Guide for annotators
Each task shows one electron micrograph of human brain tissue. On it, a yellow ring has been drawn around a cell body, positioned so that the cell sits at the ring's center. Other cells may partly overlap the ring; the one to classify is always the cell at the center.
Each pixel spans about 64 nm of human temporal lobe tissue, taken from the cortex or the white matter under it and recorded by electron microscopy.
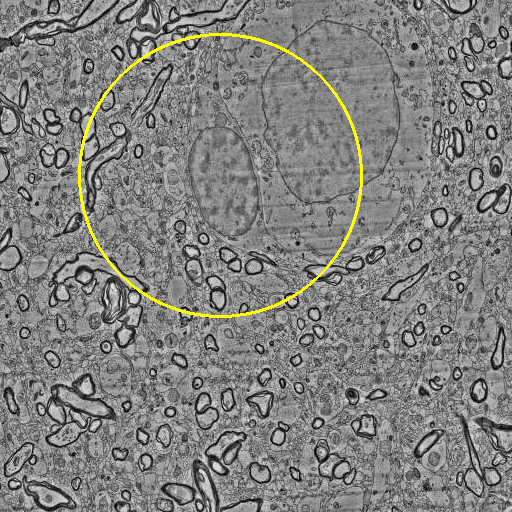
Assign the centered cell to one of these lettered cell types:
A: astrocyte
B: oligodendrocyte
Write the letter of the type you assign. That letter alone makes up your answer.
B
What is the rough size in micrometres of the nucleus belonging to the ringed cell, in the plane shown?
The nucleus of the ringed cell is clearly longer than it is wide in this plane, about 7 by 4 micrometres.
